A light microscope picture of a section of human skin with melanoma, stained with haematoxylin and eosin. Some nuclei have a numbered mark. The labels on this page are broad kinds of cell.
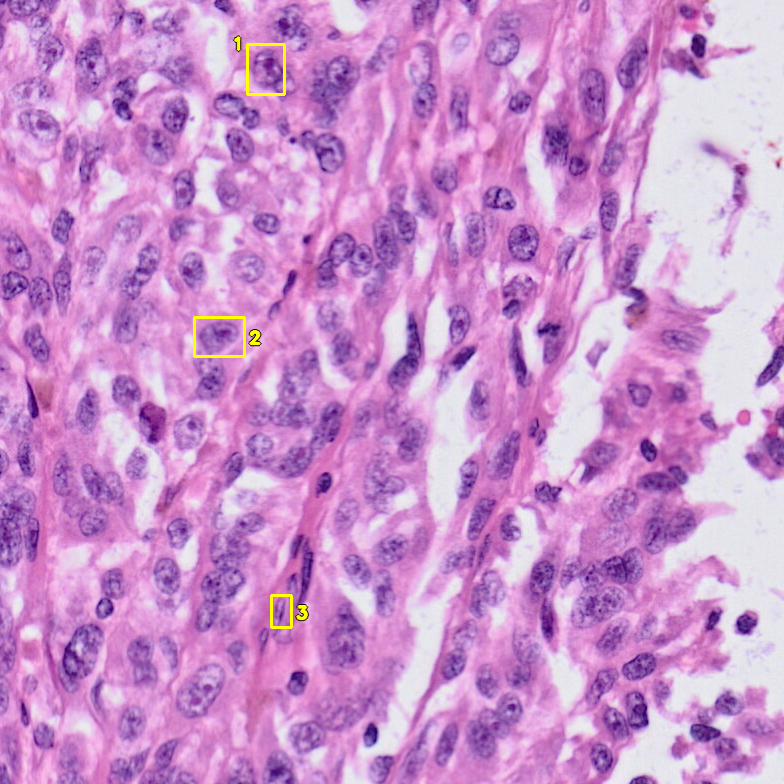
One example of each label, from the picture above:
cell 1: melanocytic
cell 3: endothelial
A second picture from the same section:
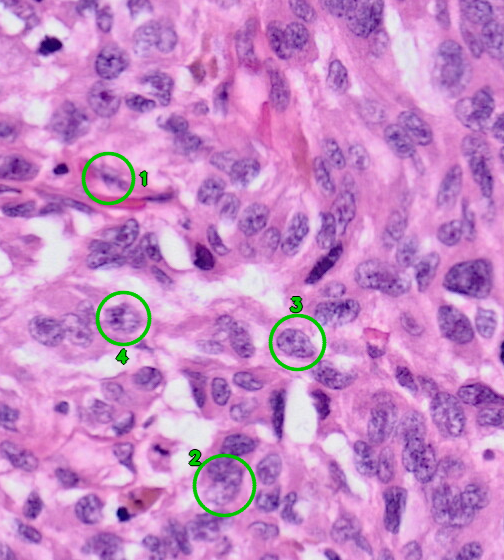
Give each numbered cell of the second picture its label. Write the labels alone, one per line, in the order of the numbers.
endothelial
melanocytic
melanocytic
melanocytic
